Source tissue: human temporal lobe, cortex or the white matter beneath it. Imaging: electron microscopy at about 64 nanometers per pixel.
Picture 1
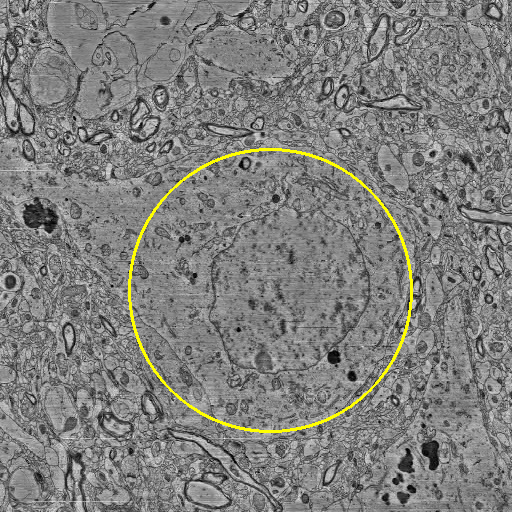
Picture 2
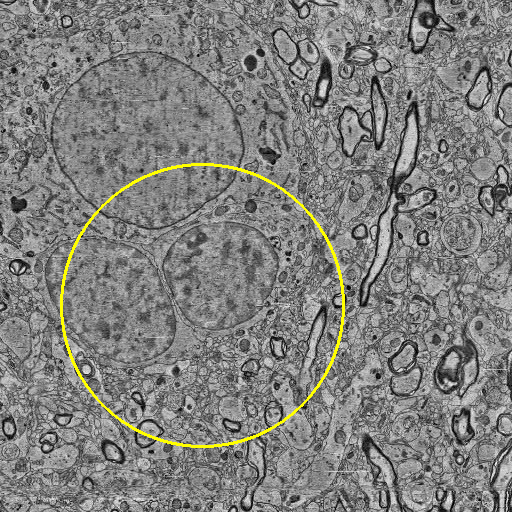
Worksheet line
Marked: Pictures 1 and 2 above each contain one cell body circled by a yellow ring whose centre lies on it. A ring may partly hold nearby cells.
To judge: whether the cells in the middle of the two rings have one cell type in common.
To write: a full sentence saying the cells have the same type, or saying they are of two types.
The cells in the middle of the rings in Picture 1 and Picture 2 are of two types.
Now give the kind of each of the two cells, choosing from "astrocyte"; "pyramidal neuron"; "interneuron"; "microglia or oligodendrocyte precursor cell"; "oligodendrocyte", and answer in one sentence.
The cell in the first picture is a pyramidal neuron, and the cell in the second is an oligodendrocyte.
